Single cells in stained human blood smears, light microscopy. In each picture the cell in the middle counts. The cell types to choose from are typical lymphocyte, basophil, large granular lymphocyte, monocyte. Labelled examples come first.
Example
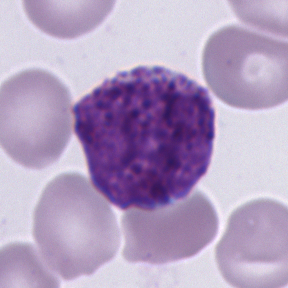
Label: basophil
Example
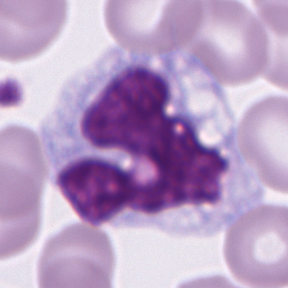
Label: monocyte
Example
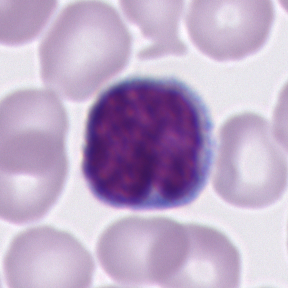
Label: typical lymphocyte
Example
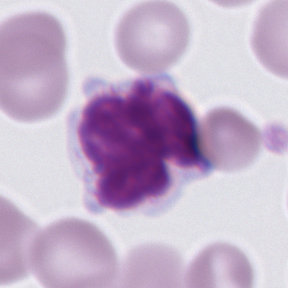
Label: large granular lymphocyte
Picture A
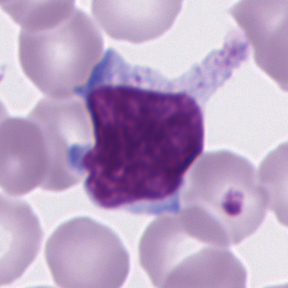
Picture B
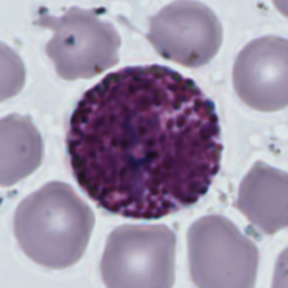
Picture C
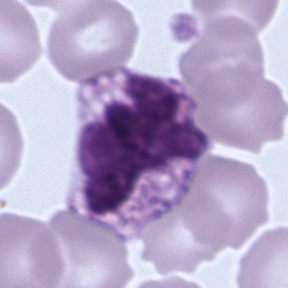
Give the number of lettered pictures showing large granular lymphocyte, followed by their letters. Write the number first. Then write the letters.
Count: 1 (A)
